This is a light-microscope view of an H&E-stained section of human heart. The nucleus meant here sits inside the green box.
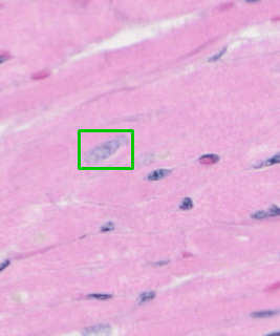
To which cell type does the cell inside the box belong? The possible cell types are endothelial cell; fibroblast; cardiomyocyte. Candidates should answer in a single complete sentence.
Cell type answer for this item: the cell inside the box is a cardiomyocyte.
